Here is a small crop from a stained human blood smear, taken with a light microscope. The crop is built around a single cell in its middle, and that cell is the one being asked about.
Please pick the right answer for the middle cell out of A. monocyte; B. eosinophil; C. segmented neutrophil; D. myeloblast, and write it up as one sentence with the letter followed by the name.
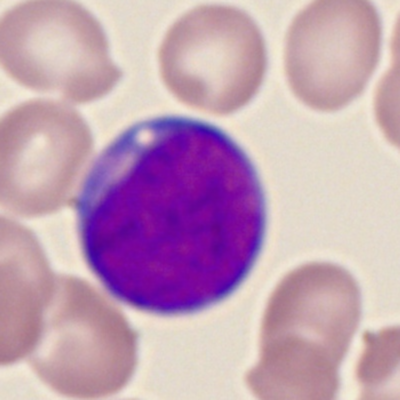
Of the options given, D is correct, the central cell being a myeloblast.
